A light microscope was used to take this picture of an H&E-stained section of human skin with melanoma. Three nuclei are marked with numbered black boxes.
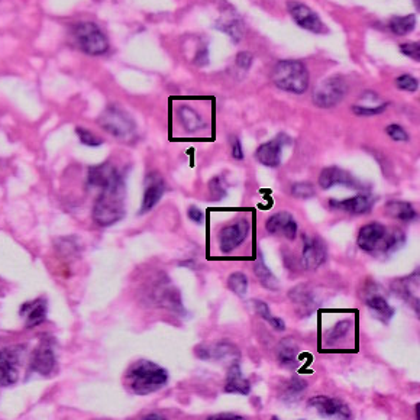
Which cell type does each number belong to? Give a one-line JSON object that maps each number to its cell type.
{"1": "macrophage or monocyte", "2": "melanoma cell", "3": "macrophage or monocyte"}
